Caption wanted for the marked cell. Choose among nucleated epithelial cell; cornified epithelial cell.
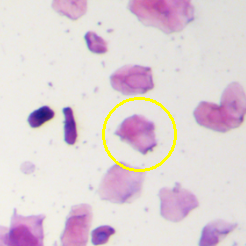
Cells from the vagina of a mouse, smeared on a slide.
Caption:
Ringed in yellow is a cornified epithelial cell.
